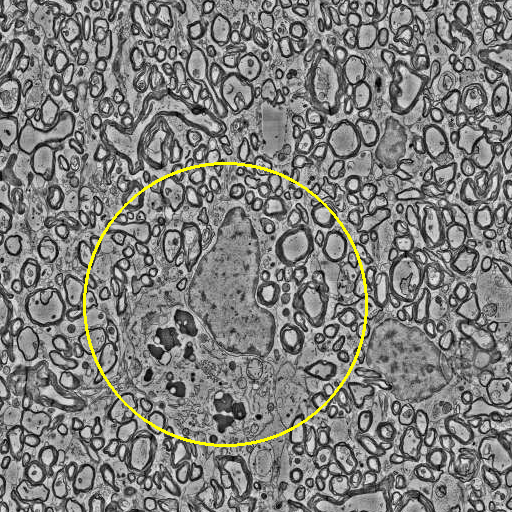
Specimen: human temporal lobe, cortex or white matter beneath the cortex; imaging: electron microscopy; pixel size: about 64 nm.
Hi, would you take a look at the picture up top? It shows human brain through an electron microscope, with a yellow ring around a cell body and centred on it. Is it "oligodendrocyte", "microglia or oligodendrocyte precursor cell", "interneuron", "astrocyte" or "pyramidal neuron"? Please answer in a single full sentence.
The best fit for the cell in the middle of the ring is a microglial cell or oligodendrocyte precursor cell, I reckon.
